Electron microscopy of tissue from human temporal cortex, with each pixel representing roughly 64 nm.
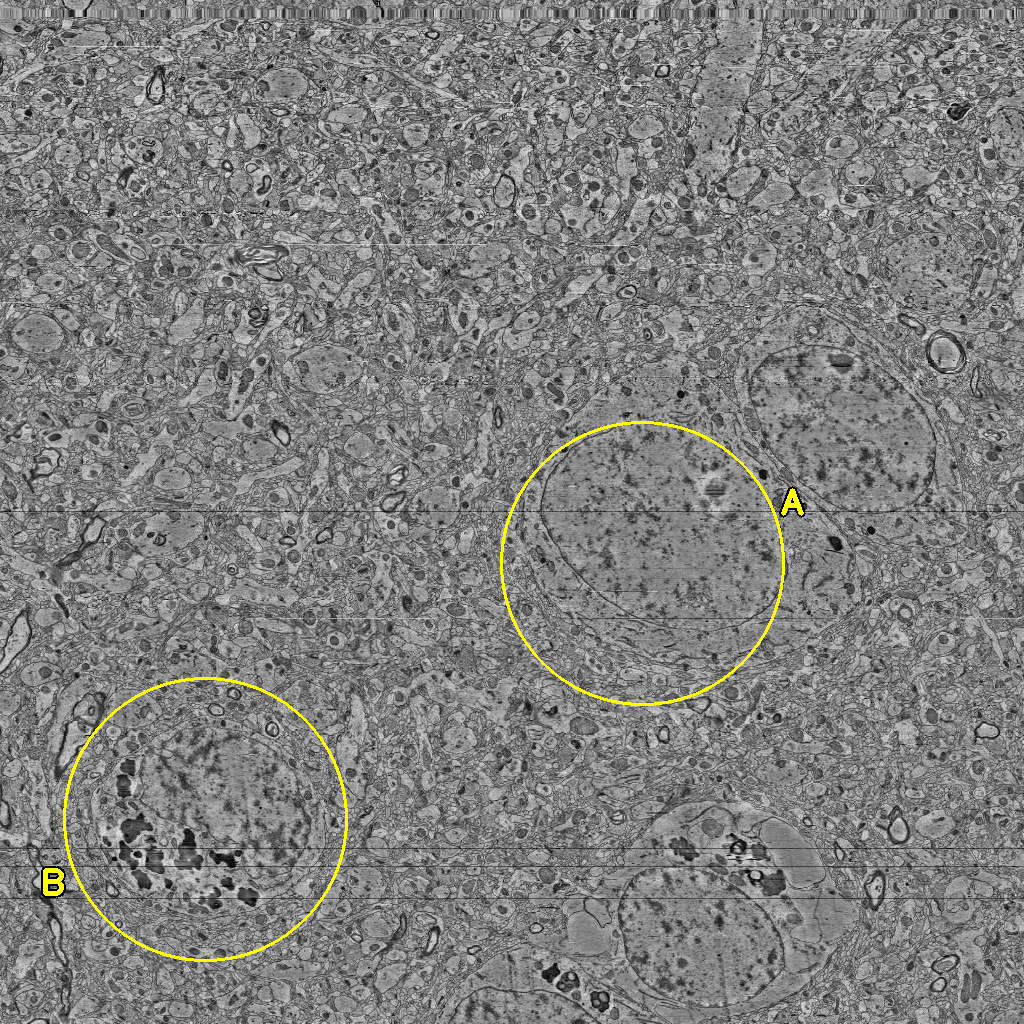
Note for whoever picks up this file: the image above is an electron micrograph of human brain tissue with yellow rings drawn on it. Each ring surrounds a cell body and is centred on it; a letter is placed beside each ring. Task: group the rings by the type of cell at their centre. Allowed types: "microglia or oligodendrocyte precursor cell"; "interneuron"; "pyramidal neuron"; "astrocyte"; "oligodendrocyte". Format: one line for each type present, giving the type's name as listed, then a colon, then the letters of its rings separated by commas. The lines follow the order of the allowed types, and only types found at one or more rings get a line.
interneuron: B
pyramidal neuron: A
